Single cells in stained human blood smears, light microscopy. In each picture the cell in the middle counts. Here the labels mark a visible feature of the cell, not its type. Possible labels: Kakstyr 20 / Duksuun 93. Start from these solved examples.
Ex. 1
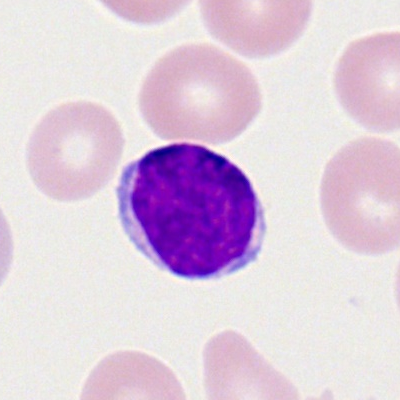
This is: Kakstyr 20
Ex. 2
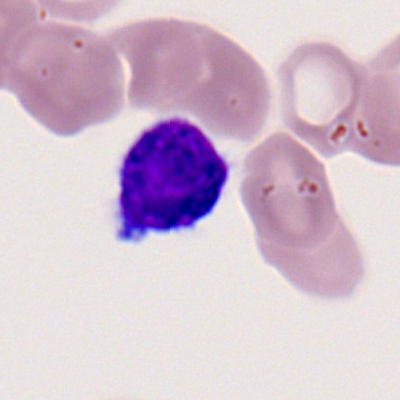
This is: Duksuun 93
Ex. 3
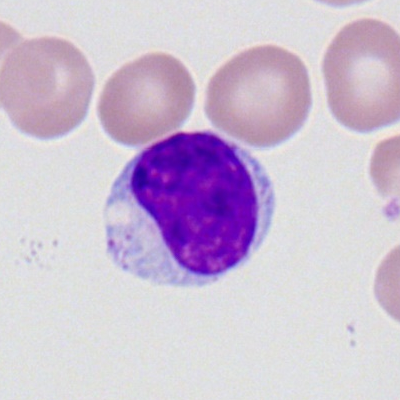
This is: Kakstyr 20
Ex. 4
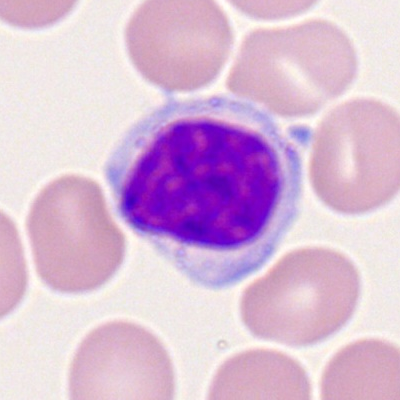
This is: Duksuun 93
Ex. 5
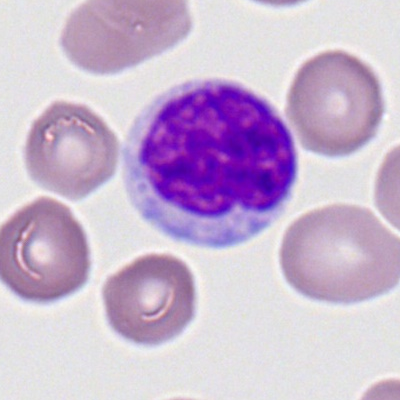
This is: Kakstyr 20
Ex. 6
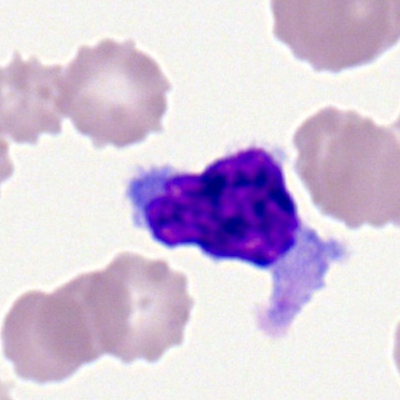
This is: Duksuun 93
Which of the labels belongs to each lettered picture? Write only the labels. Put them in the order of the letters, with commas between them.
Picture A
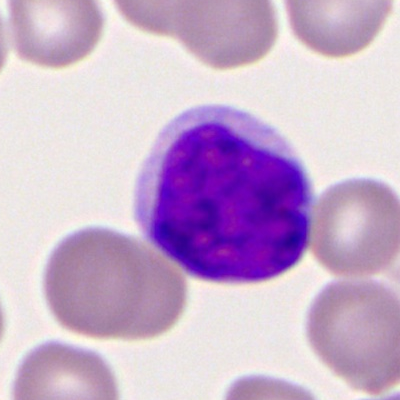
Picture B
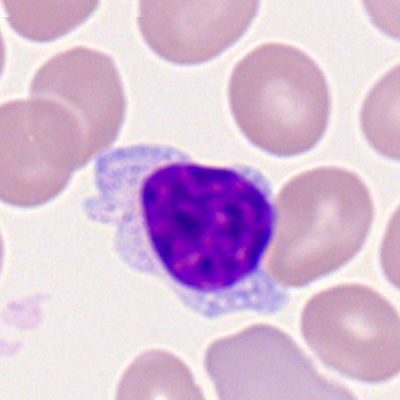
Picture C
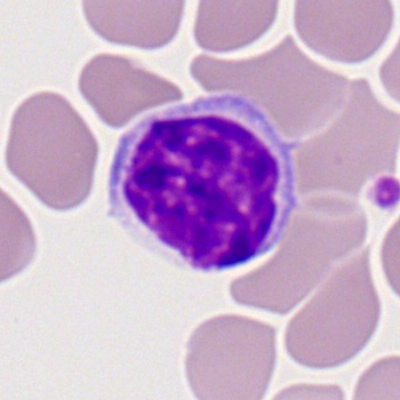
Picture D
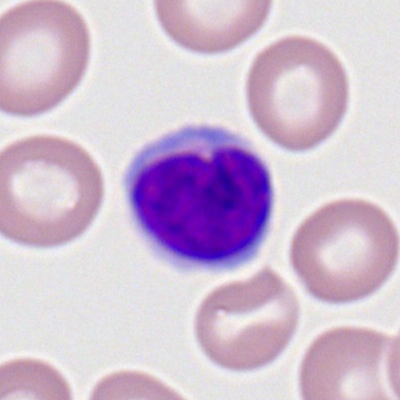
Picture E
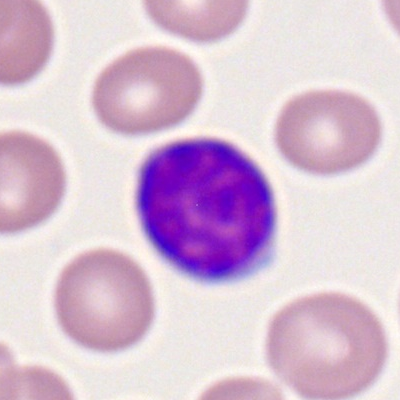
Kakstyr 20, Duksuun 93, Kakstyr 20, Kakstyr 20, Kakstyr 20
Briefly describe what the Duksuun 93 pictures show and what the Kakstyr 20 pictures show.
Seen in Duksuun 93: ragged outline or projections; seen in Kakstyr 20: smooth outline.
